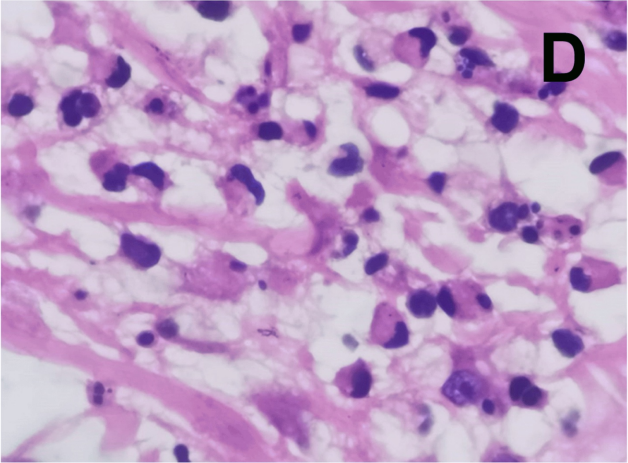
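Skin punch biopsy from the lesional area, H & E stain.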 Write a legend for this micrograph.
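At high power, scattered inflammatory cells lie in a loose, pale dermis crossed by pink collagen strands. The spaces around the cells are clear and open. These are histiocyte-like cells with reniform nuclei mixed with neutrophils showing nuclear debris.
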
